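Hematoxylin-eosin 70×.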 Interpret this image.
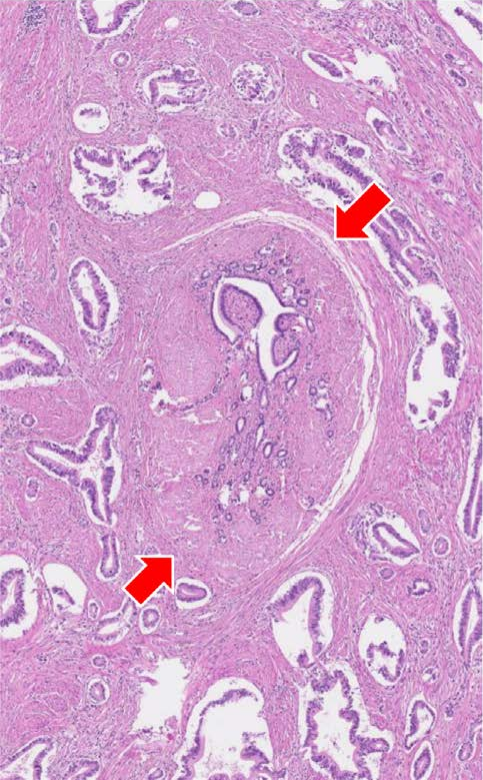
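The field is crowded with many separate glands of varying size and shape, lined by columnar cells with purple nuclei, some with a folded or serrated lumen, lying in pink fibrous stroma. In the centre a rounded lobule is marked off from its surroundings by a thin pale cleft and a rim of compact stroma. Within this lobule a larger, branching duct with an open lumen sits among a cluster of small ductules embedded in its own pale pink stroma. The organised lobular arrangement of a central duct with satellite ductules differs from the haphazard spread of the glands around it.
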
